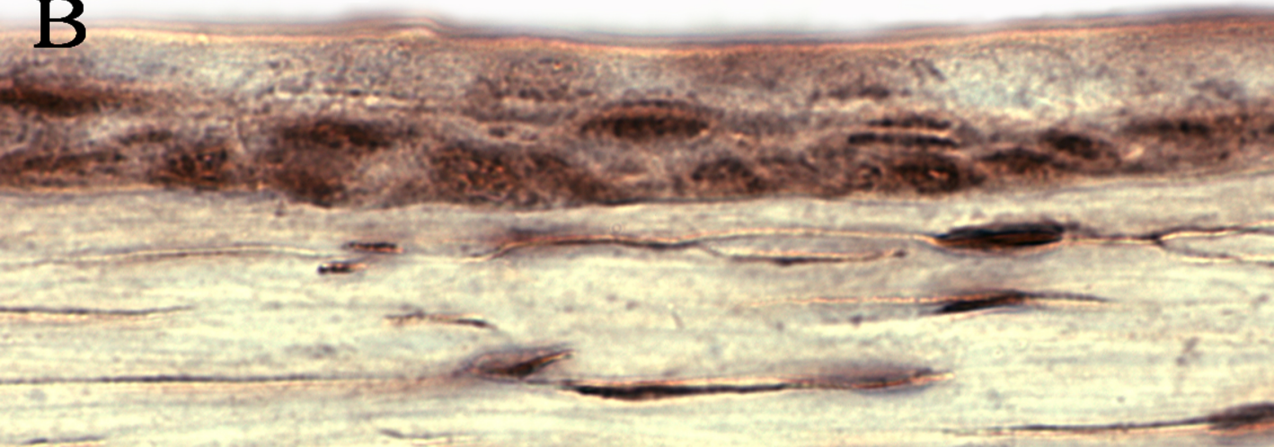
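Corneal epithelium overlying the stroma, with a continuous row of oval basal cells and the cells just above them stained dark brown, while the most superficial layers are paler and more finely granular. Below the epithelium the stroma consists of pale, parallel collagen lamellae with thin, flattened, spindle-shaped cells lying between them.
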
